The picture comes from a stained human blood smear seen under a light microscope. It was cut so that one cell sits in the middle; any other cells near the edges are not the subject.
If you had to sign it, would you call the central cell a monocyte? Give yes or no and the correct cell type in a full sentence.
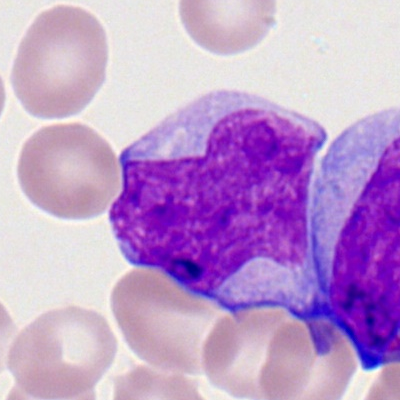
No, the identification should read a myeloblast, not a monocyte, for the central cell.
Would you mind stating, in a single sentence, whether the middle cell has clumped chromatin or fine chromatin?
The key point is fine chromatin with no coarse clumps.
